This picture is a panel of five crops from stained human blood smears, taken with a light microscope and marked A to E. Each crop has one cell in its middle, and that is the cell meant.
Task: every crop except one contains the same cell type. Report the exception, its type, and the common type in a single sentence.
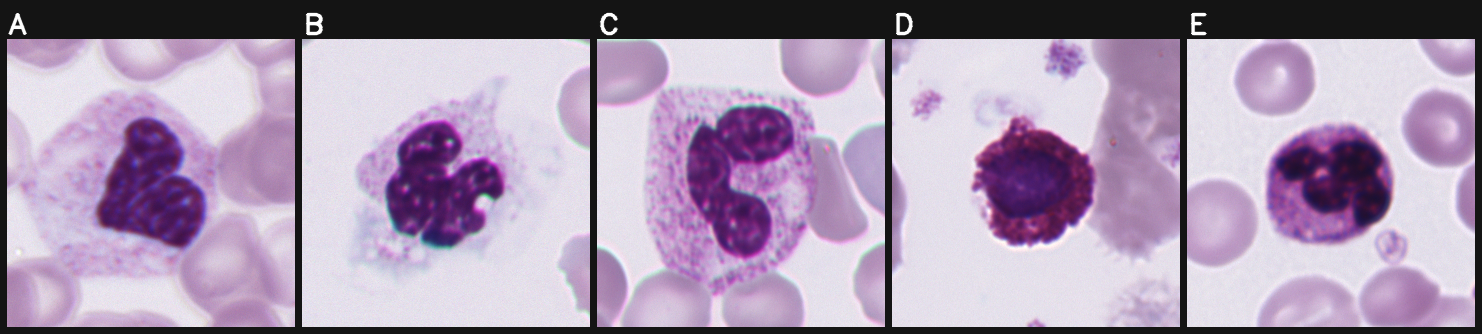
Crop D is the exception here: it is an eosinophil, and the others are neutrophils.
